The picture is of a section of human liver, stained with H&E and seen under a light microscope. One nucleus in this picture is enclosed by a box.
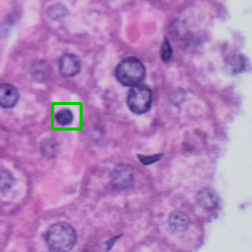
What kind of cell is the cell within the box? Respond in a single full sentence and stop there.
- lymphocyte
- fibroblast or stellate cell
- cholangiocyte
Right, so the cell within the box is a lymphocyte, to answer that.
